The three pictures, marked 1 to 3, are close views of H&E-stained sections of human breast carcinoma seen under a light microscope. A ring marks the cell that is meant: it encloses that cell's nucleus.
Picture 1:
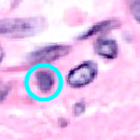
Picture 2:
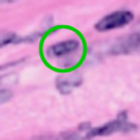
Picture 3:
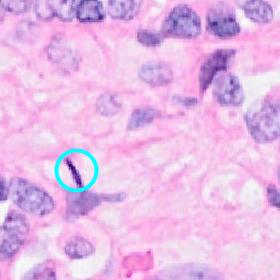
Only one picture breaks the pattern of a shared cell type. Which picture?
3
